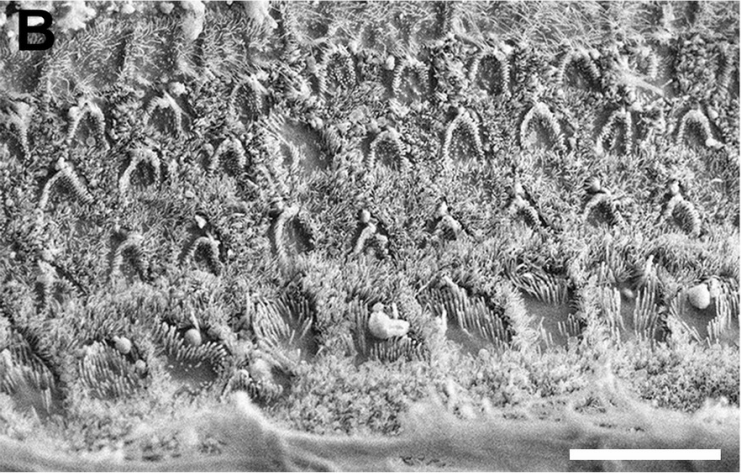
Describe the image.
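This surface view of the organ of Corti still shows three rows of outer hair cells above one row of inner hair cells, but their stereocilia bundles are irregular. The outer hair cell bundles are smaller, gapped or misshapen V forms rather than uniform chevrons. The inner hair cell bundles are no longer compact crescents: their stereocilia are thin, splayed and fan out loosely in different directions. A few rounded blebs sit on the apical surfaces. The surrounding supporting cell surfaces are covered with dense microvilli, and the rows look less evenly spaced than in a normal organ.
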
